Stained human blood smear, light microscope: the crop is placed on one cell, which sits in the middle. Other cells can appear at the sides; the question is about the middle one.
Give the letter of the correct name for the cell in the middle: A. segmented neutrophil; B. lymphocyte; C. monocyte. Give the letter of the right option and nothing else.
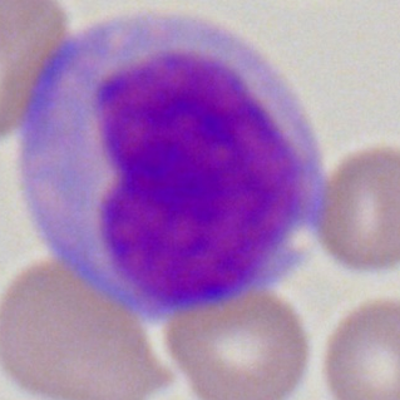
C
